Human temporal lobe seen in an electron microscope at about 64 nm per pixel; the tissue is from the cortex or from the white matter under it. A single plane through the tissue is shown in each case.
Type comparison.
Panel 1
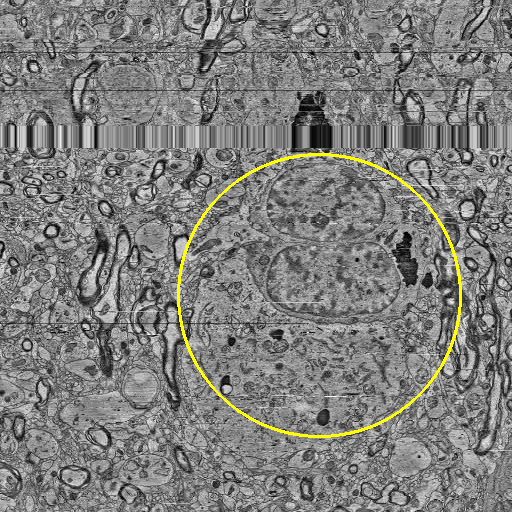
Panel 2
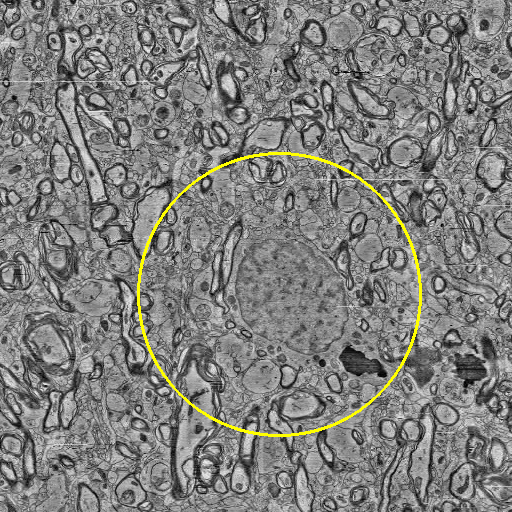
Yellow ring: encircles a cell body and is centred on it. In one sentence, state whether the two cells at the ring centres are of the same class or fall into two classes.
In these panels, the two cells at the ring centres are of the same class.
